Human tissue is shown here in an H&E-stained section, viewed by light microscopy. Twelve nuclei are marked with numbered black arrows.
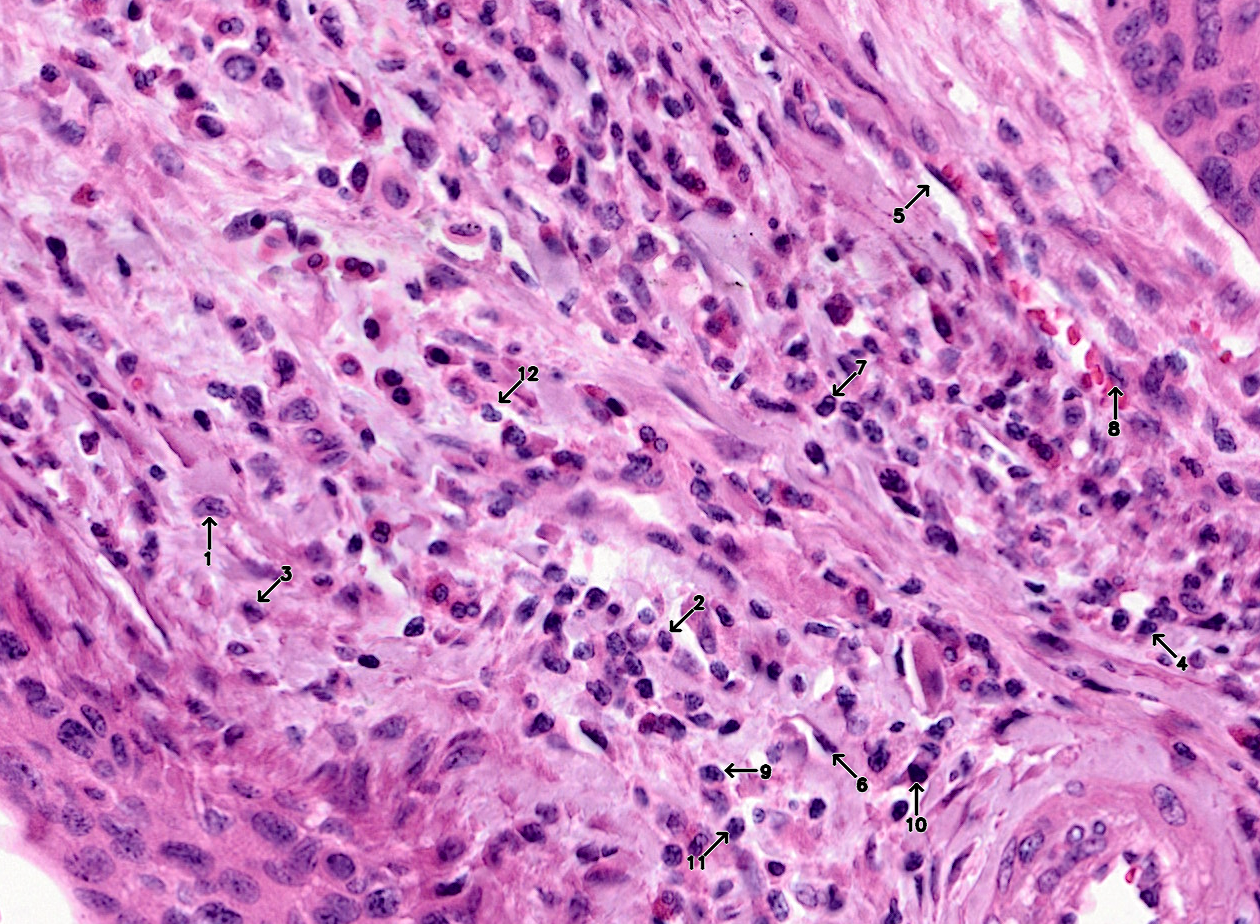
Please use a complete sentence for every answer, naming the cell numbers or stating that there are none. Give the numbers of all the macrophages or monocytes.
Cells 1 and 3 are of one type, namely macrophages or monocytes.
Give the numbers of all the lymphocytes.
The cells referred to by numbers 2, 4, 7, 9, 10, 11 and 12 are lymphocytes.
